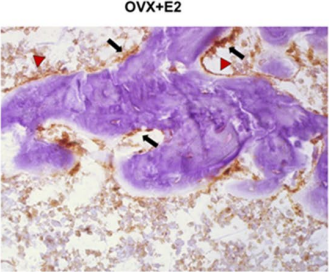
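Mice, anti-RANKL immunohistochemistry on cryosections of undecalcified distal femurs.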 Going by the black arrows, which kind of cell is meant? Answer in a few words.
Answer: osteoblasts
